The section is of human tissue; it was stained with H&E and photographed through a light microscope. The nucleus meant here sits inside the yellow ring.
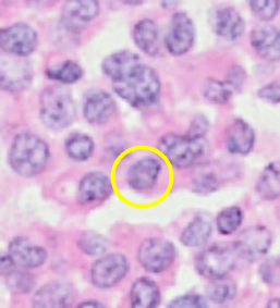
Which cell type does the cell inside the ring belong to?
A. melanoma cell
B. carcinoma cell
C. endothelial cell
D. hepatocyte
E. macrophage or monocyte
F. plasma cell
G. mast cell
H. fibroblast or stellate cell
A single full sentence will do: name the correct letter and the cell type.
Option B is accurate, for the cell inside the ring is a carcinoma cell.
